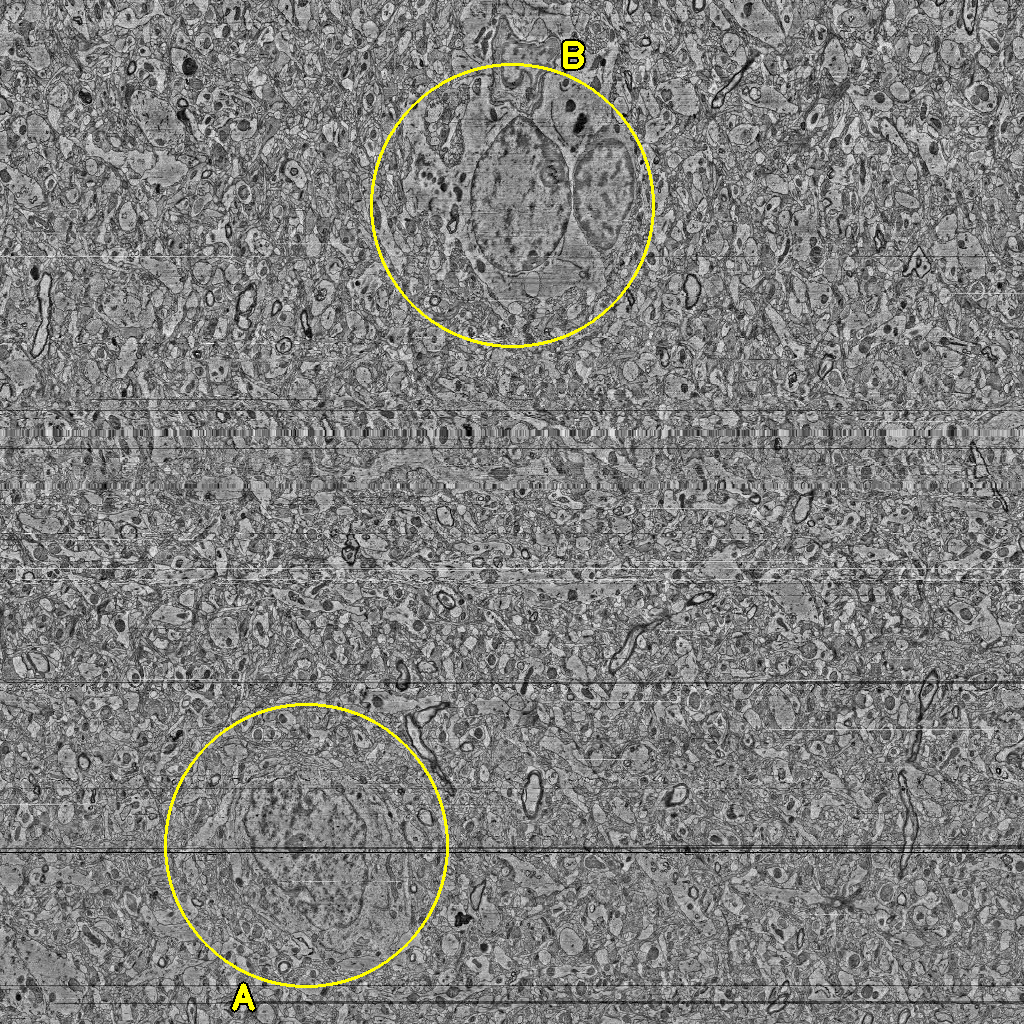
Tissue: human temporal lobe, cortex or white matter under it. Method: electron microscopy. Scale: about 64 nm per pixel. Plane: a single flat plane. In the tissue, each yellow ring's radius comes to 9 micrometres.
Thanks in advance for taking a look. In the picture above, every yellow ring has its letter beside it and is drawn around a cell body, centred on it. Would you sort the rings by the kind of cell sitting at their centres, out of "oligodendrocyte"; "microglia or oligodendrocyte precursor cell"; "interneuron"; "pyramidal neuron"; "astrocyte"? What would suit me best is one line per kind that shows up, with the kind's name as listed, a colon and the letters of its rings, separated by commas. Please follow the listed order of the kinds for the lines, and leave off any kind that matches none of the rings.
interneuron: A
astrocyte: B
